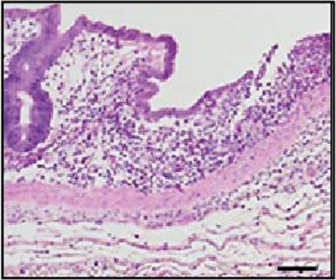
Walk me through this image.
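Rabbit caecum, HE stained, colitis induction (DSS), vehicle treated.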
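This is a section through the caecal wall in which the mucosa is heavily inflamed. Instead of neat folds covered by a regular epithelium, the upper layer is thick and disordered, crowded with countless small round cells whose dark purple nuclei crowd the pale connective tissue. Beneath the crowded mucosa lies a pink band of muscle, and below that loose, pale connective tissue that is itself sprinkled with scattered dark nuclei.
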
